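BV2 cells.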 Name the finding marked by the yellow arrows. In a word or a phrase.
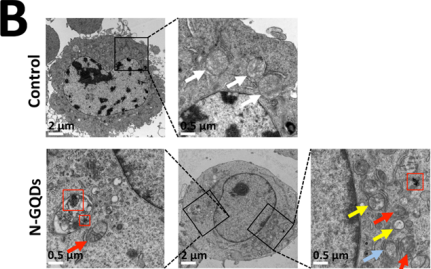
Broken mitochondrial ridge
